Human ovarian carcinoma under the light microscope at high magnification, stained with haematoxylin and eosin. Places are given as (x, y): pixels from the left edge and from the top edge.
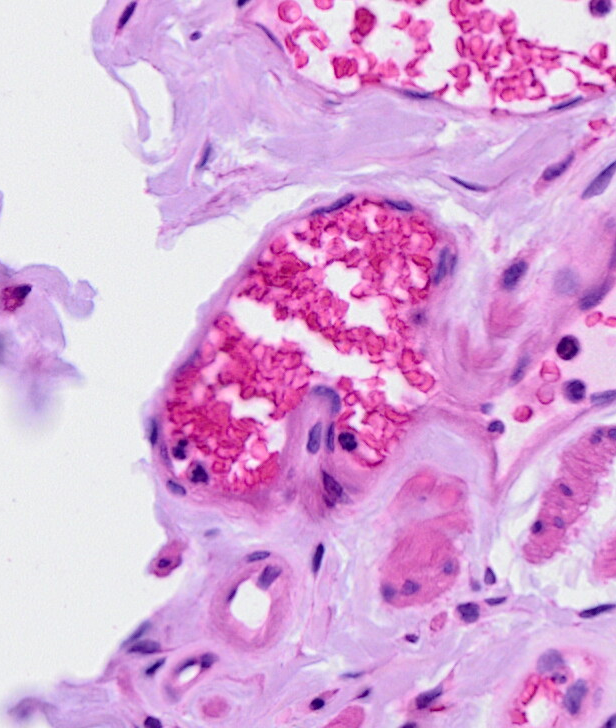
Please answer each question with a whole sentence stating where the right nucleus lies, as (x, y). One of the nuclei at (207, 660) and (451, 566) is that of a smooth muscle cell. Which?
The nucleus at (451, 566) belongs to a smooth muscle cell, which distinguishes it from the other nucleus.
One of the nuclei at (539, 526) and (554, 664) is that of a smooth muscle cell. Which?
The nucleus whose position is (539, 526) belongs to a smooth muscle cell.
